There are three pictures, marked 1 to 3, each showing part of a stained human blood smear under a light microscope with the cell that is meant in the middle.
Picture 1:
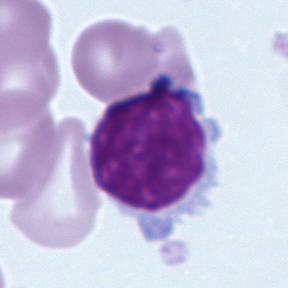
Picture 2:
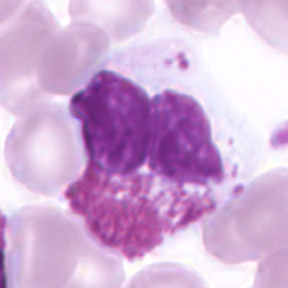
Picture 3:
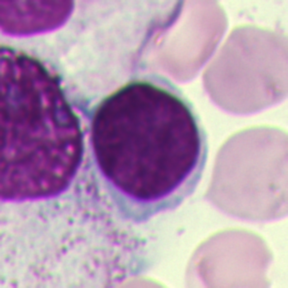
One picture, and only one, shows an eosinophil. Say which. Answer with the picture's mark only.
2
